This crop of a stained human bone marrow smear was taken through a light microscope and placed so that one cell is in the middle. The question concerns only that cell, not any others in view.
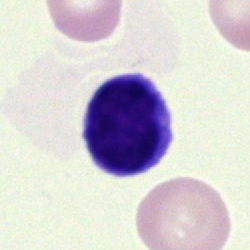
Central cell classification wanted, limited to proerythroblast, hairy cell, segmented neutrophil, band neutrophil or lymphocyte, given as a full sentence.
The cell the crop is centered on is a lymphocyte.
